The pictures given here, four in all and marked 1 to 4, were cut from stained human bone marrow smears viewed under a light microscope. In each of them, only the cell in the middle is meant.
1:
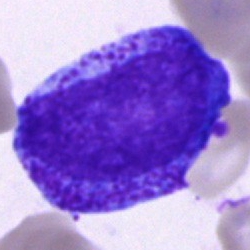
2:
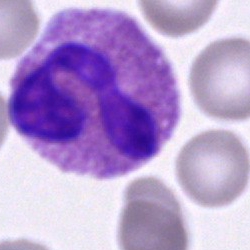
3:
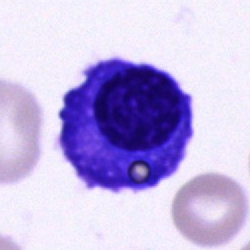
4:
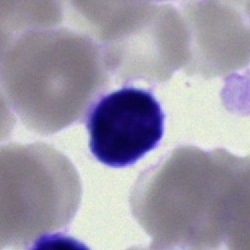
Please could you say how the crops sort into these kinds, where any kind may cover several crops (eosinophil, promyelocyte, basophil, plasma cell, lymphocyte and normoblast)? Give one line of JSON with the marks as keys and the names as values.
{"1": "promyelocyte", "2": "eosinophil", "3": "plasma cell", "4": "lymphocyte"}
